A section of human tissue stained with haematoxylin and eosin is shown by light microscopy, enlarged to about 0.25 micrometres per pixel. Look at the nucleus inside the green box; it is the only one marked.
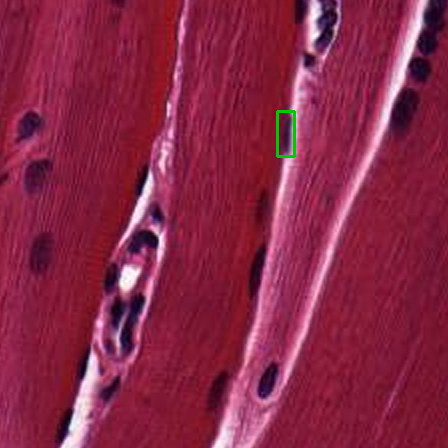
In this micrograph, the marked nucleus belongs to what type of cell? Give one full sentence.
The marked nucleus is one that belongs to a skeletal muscle fibre.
